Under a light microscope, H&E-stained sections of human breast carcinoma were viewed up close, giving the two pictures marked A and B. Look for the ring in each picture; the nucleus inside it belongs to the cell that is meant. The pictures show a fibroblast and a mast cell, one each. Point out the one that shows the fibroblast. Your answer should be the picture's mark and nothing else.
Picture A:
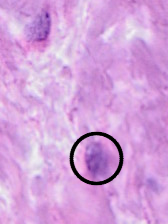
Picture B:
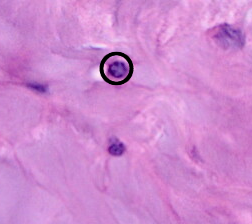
A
